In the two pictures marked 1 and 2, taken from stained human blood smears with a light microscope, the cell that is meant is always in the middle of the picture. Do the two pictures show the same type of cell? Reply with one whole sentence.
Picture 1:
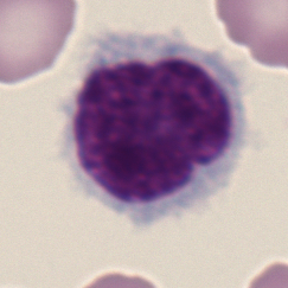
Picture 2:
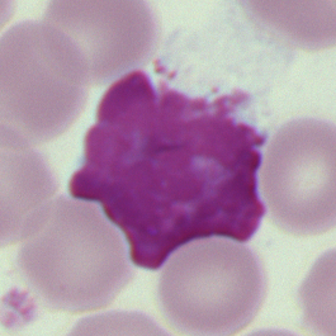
No. Picture 1 shows a hairy cell, but picture 2 shows a smudge cell.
